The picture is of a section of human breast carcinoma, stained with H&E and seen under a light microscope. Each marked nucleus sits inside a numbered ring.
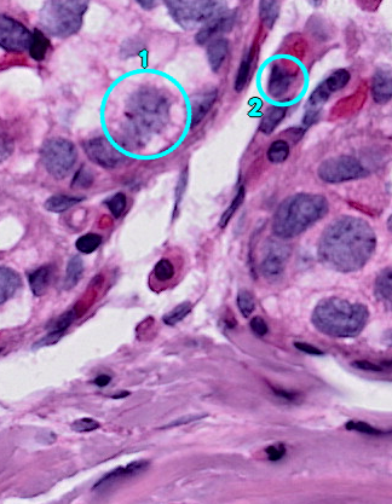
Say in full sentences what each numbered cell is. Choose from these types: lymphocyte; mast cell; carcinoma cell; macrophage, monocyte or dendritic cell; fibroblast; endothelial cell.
Cell 1 is a carcinoma cell. Cell 2 is an endothelial cell.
